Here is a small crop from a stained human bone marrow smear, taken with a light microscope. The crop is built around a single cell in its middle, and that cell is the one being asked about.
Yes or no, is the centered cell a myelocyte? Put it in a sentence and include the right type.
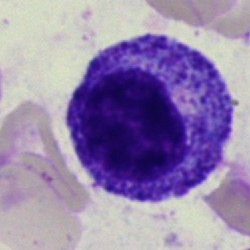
Yes, in the centre of this field sits a myelocyte.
